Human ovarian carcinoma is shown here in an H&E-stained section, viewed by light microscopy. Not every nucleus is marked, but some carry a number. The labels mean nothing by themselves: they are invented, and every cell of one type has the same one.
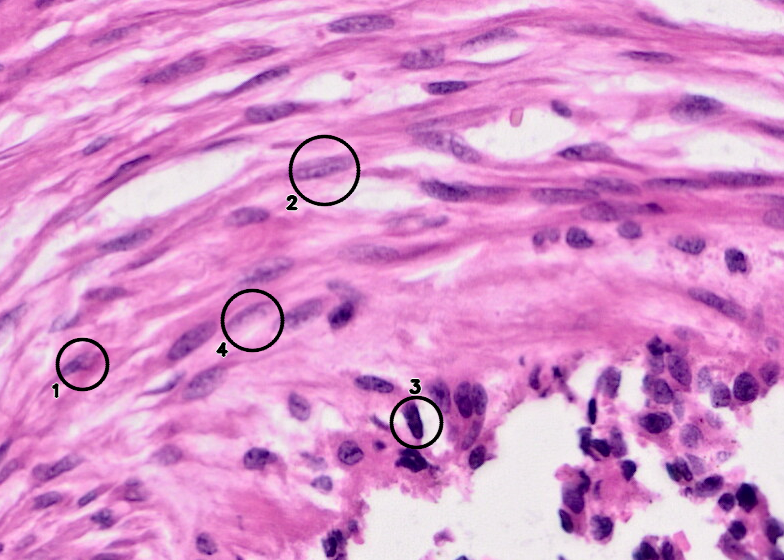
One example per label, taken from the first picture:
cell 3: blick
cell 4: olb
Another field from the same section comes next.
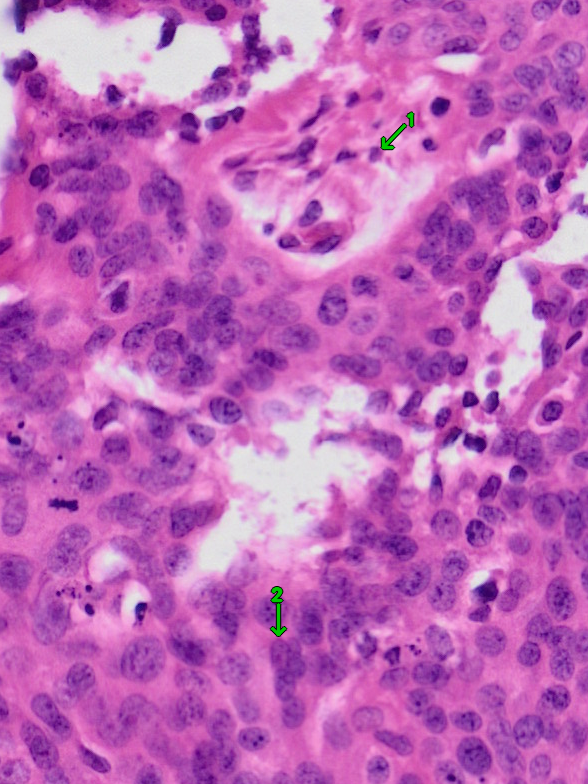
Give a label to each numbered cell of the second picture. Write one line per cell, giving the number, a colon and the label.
1: olb
2: blick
